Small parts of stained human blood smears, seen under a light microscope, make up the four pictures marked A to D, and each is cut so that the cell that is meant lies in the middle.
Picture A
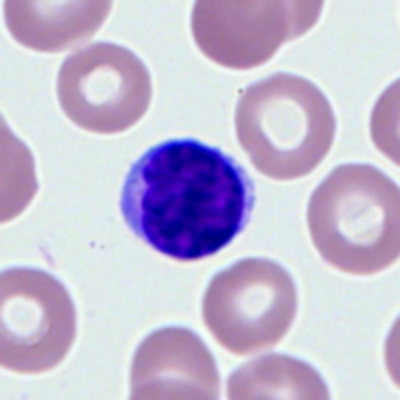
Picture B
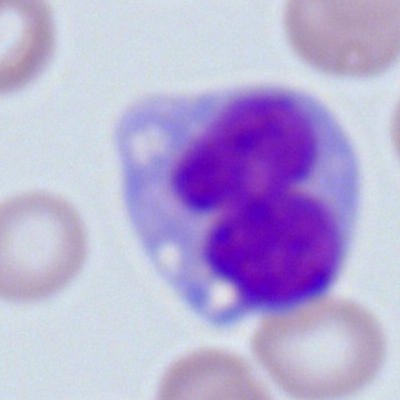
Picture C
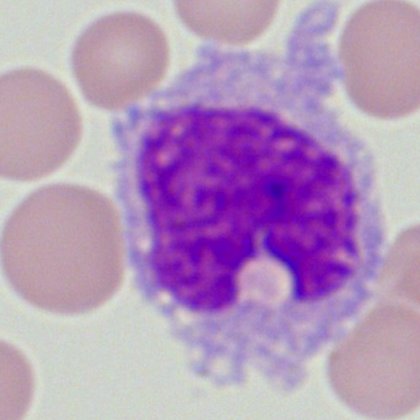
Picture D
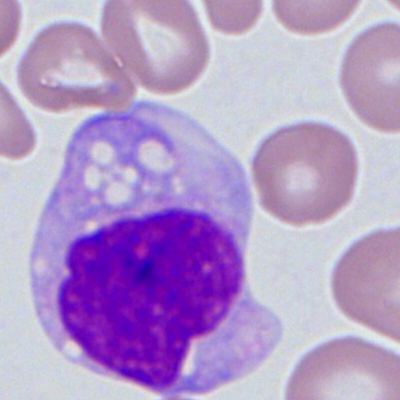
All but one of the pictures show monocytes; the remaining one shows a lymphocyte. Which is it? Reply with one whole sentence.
Picture A is the one that shows the lymphocyte.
